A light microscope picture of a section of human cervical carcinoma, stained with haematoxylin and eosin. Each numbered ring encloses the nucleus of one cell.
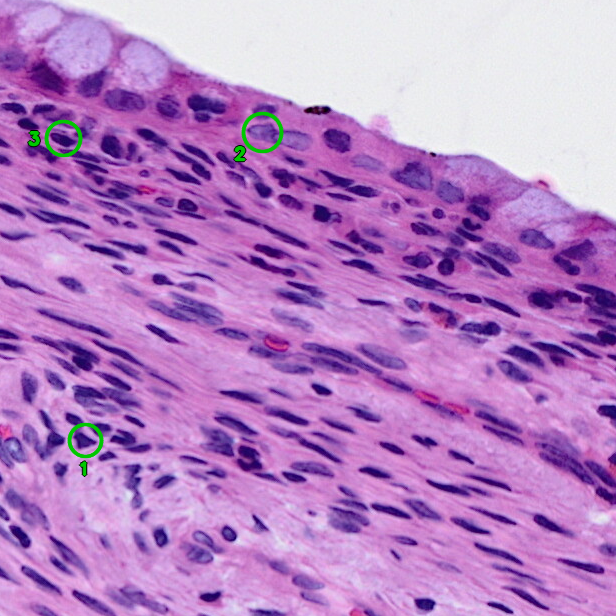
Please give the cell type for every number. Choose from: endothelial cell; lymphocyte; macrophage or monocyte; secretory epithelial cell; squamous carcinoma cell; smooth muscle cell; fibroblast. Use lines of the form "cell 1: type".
cell 1: fibroblast
cell 2: secretory epithelial cell
cell 3: lymphocyte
